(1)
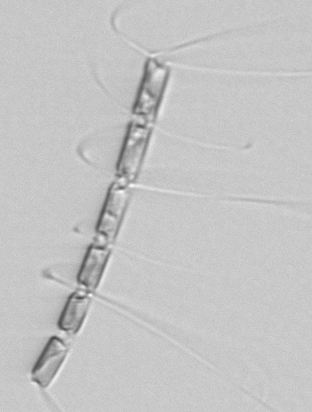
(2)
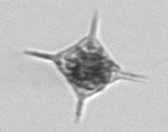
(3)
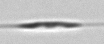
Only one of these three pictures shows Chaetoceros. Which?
Picture 1.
